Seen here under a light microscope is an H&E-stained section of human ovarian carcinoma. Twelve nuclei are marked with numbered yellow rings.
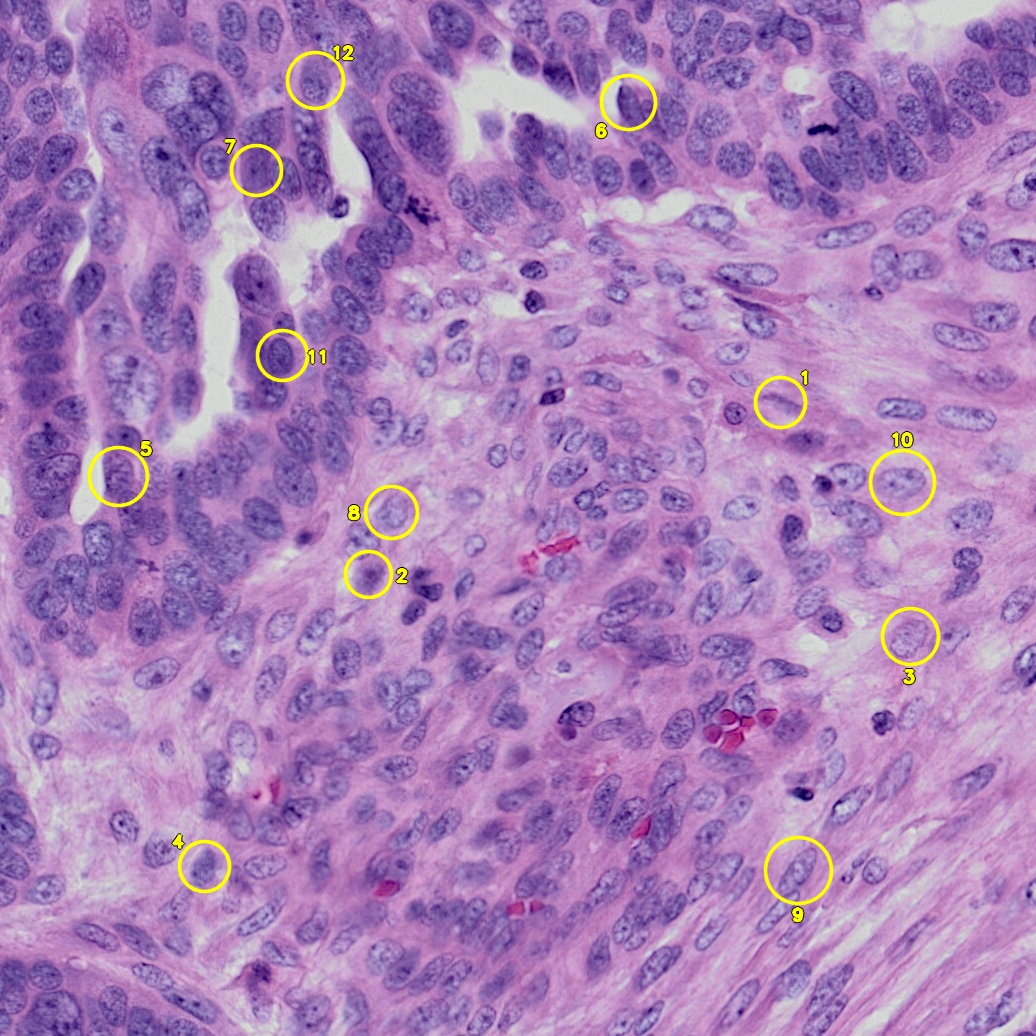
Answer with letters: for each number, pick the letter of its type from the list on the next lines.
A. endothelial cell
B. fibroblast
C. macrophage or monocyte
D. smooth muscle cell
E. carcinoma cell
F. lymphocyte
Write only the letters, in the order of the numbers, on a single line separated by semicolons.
B; B; B; B; E; E; E; B; B; B; E; E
